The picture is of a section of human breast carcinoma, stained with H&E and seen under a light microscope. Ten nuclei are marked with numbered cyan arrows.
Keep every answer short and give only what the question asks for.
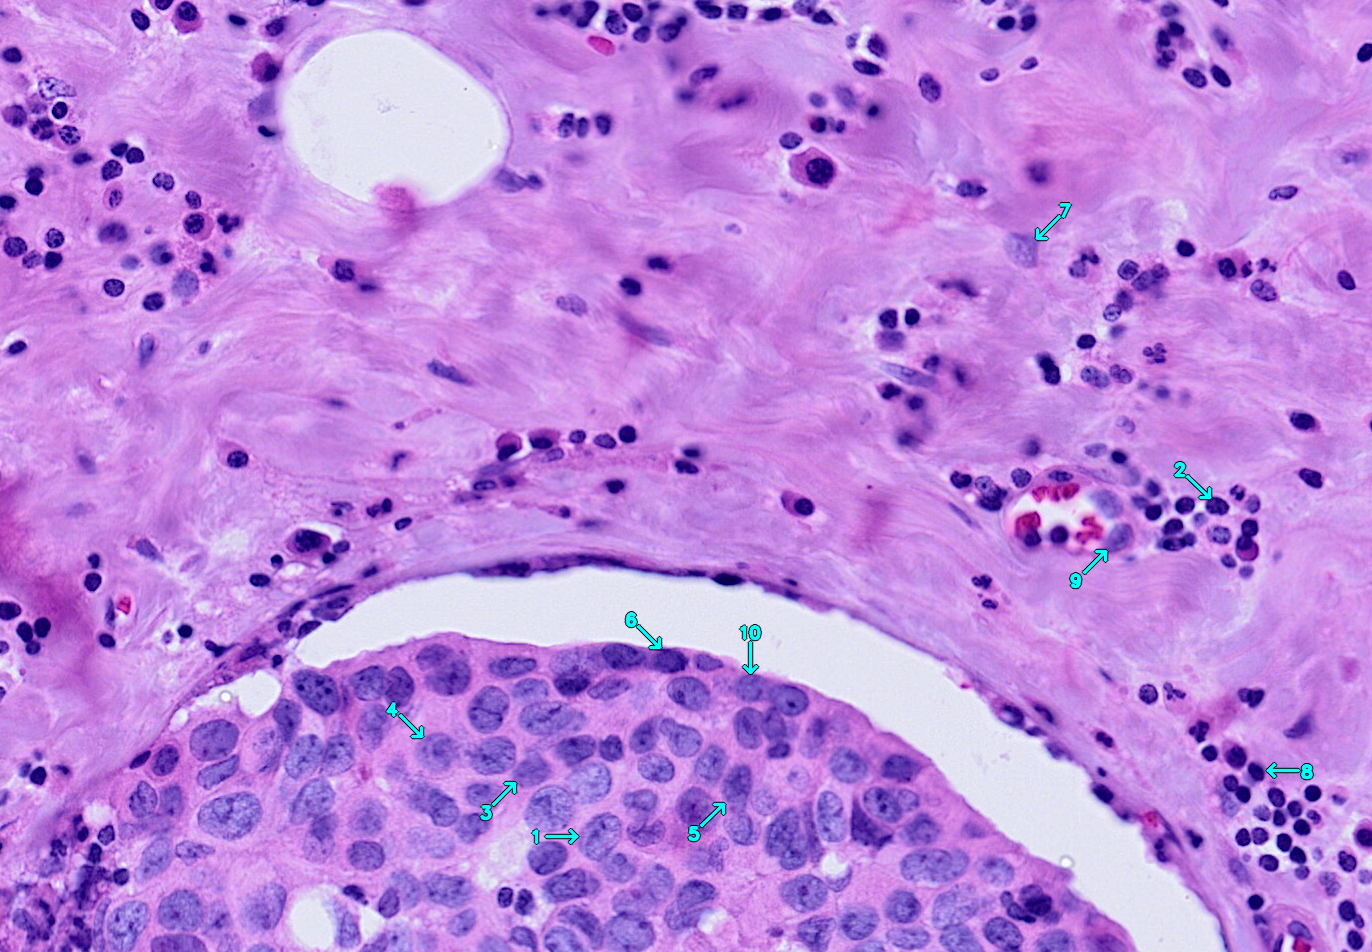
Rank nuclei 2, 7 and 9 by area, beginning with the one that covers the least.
2, 9, 7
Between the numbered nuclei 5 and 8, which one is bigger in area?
5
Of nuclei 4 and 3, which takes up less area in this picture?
3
